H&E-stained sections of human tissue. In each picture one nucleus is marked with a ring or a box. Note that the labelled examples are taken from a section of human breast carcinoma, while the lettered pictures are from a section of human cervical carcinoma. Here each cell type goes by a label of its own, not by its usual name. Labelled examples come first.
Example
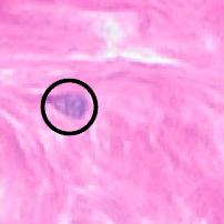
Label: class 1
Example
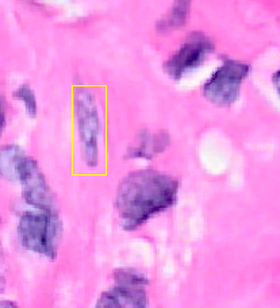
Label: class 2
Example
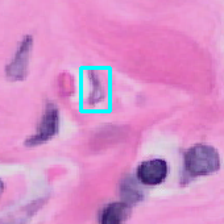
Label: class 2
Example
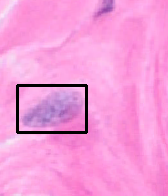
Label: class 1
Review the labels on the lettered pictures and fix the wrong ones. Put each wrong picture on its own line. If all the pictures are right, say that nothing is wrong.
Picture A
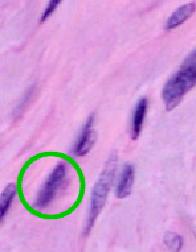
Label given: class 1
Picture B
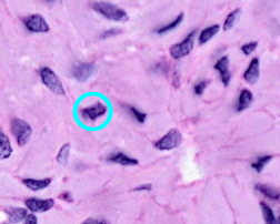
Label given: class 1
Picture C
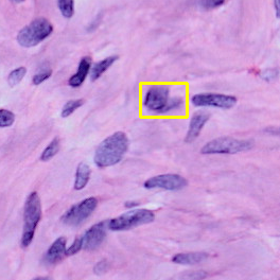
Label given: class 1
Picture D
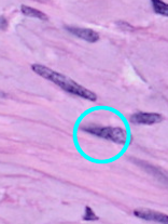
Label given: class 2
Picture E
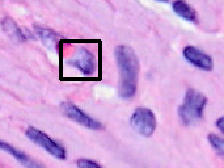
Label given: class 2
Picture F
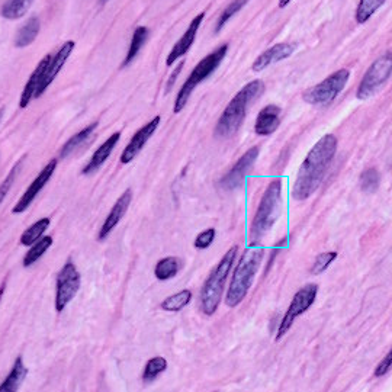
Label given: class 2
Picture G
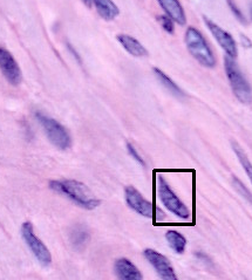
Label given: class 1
D: change class 2 to class 1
